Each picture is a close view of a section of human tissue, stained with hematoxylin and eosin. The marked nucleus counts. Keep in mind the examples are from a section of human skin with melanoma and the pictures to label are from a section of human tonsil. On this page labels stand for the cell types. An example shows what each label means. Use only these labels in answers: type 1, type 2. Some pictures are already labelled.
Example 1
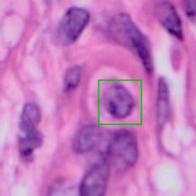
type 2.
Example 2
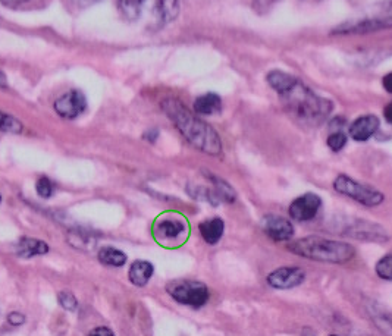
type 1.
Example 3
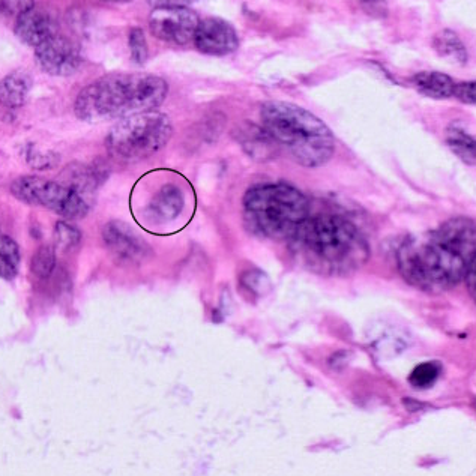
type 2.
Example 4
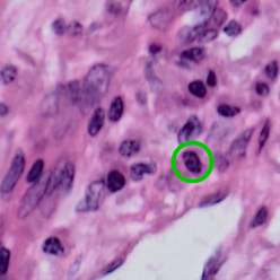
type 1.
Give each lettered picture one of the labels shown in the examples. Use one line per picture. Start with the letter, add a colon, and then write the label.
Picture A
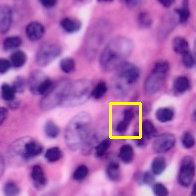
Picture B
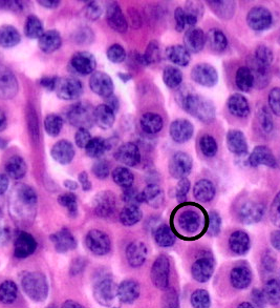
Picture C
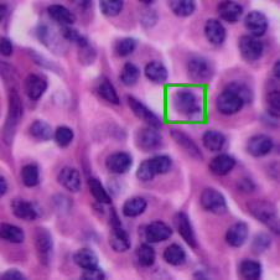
A: type 2.
B: type 1.
C: type 1.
